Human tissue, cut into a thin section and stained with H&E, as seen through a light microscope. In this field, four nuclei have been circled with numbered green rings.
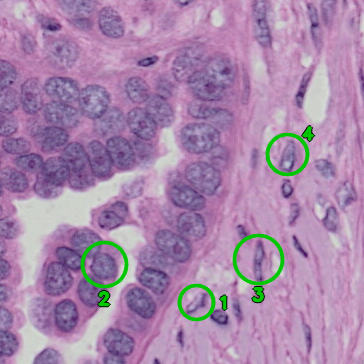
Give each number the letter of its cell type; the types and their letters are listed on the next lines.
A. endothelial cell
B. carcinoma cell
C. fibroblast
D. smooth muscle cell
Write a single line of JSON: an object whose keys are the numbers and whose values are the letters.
{"1": "C", "2": "B", "3": "C", "4": "C"}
